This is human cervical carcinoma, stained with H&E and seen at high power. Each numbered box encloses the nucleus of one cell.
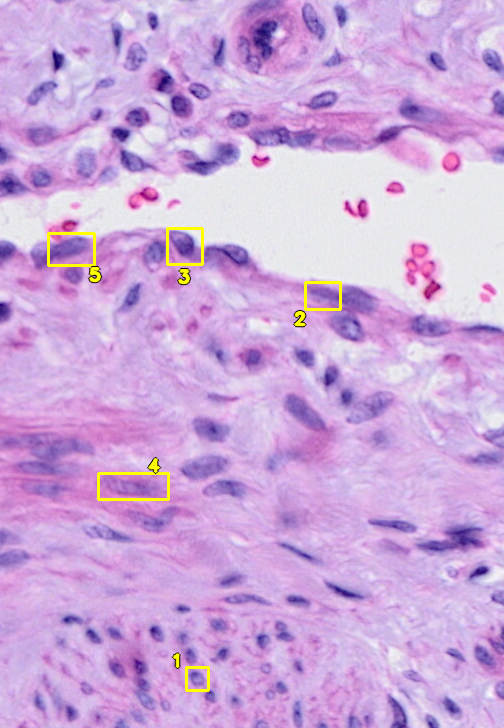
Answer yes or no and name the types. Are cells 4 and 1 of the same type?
Yes, cell 4 and cell 1 are both smooth muscle cells.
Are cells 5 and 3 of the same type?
Yes, cells 5 and 3 both fall under endothelial cells.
